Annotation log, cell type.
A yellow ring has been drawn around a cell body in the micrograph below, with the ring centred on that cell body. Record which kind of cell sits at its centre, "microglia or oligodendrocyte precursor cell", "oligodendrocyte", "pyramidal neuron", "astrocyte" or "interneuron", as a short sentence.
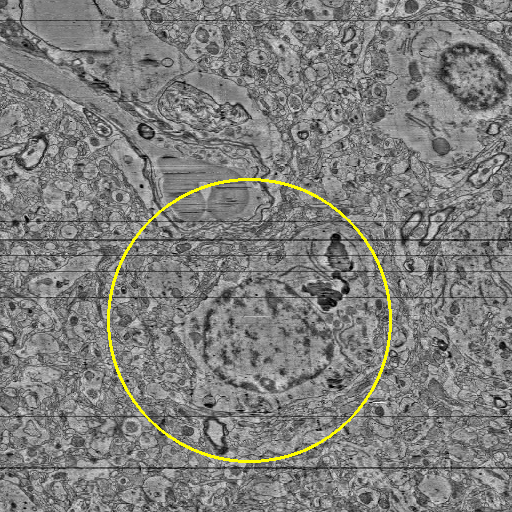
The cell at the centre of this ring is an astrocyte.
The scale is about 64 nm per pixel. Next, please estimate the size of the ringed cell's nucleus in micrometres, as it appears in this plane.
Approximately 8 micrometers across in this plane.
